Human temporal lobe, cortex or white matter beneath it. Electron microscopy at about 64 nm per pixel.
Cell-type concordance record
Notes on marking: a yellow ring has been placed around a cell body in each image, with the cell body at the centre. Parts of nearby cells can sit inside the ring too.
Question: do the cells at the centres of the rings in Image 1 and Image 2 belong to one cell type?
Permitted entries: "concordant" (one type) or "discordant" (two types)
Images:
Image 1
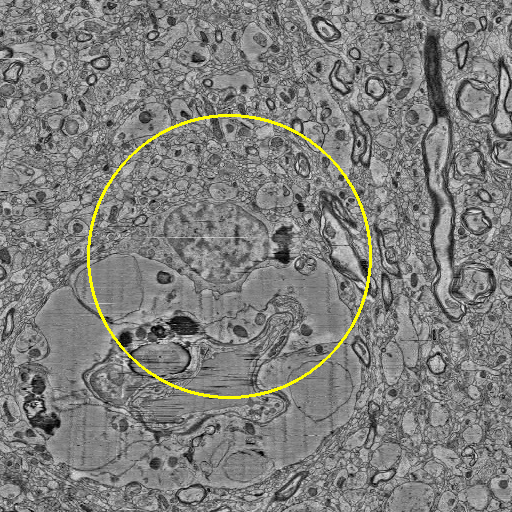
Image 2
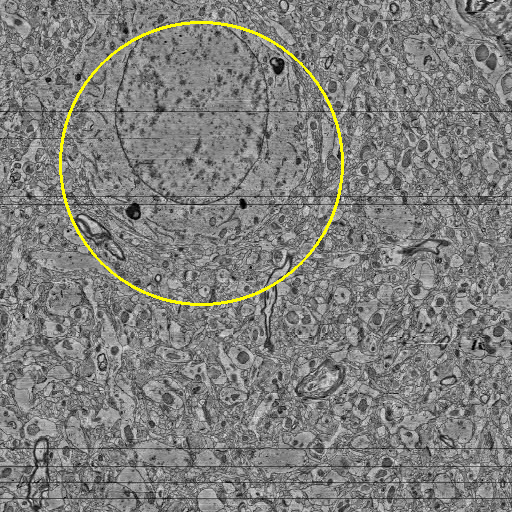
discordant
